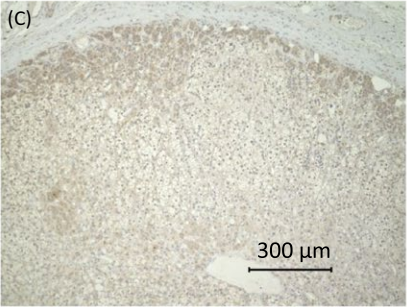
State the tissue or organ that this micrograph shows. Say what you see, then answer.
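A fibrous capsule covers a cortex of cords of cells. Deeper cells have pale, clear cytoplasm.
Conclusion: adrenal glands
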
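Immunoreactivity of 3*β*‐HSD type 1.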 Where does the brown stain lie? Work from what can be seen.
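A band of brown-stained cells lies just beneath the fibrous capsule at the top. The deeper tissue is paler.
Conclusion: zona glomerulosa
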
